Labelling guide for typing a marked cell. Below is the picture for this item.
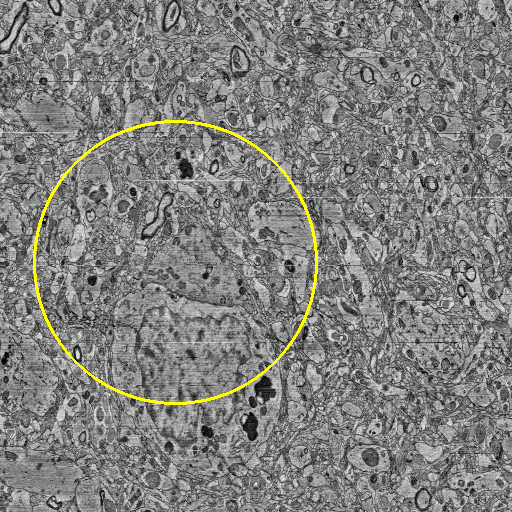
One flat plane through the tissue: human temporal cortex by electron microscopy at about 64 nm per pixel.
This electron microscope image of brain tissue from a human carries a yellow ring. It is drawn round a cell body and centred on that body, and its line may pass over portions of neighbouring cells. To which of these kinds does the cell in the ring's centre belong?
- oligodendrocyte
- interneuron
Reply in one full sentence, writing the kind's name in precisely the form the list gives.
Here we have an oligodendrocyte at the centre of the yellow ring in the picture.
